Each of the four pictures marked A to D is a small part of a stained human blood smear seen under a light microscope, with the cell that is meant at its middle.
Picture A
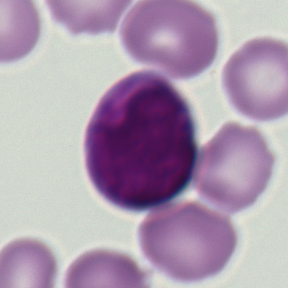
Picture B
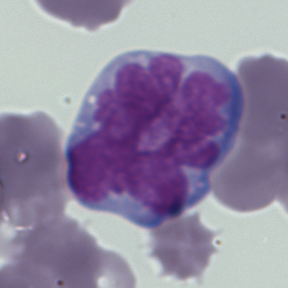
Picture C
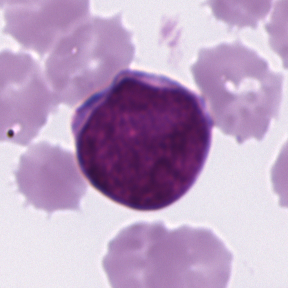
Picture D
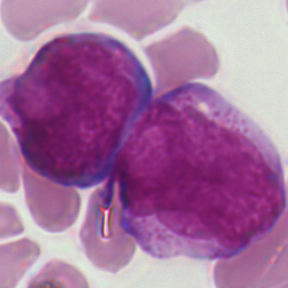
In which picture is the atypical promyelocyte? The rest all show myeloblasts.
D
